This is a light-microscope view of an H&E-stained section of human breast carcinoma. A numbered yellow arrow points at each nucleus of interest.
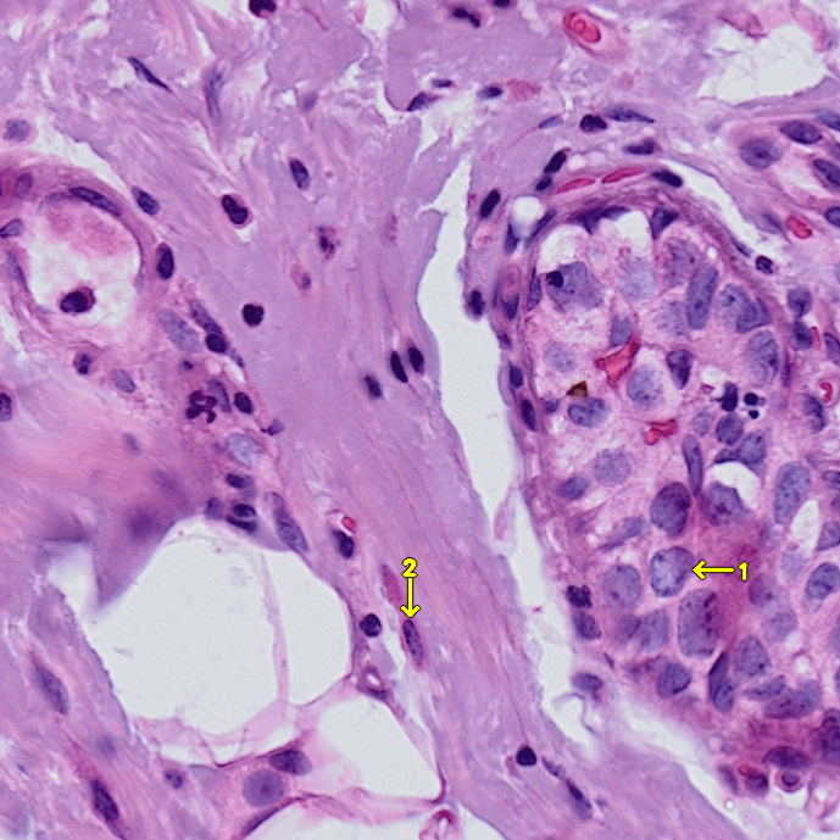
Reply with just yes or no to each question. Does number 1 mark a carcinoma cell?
yes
